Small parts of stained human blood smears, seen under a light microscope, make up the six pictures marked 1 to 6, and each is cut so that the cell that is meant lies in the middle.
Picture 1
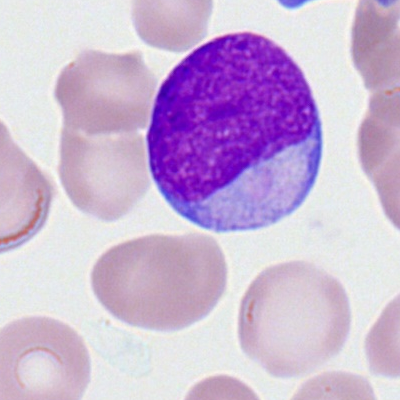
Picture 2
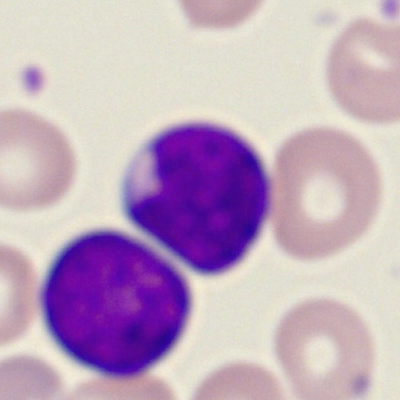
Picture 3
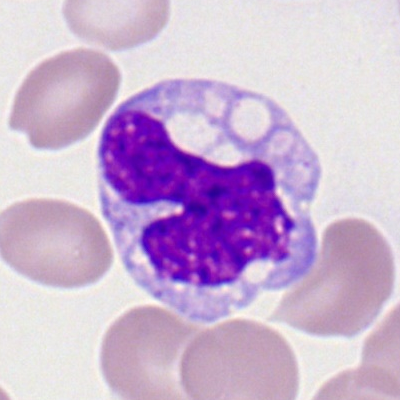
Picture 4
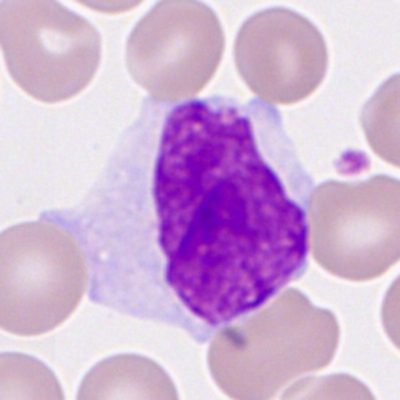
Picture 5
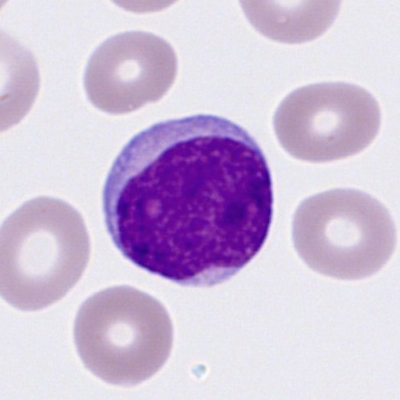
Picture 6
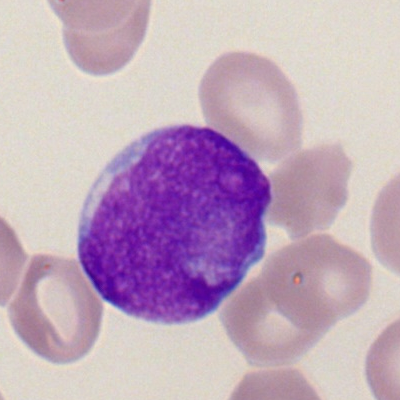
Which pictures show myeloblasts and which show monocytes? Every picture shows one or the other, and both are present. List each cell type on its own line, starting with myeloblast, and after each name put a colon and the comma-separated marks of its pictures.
myeloblast: 1, 2, 5, 6
monocyte: 3, 4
